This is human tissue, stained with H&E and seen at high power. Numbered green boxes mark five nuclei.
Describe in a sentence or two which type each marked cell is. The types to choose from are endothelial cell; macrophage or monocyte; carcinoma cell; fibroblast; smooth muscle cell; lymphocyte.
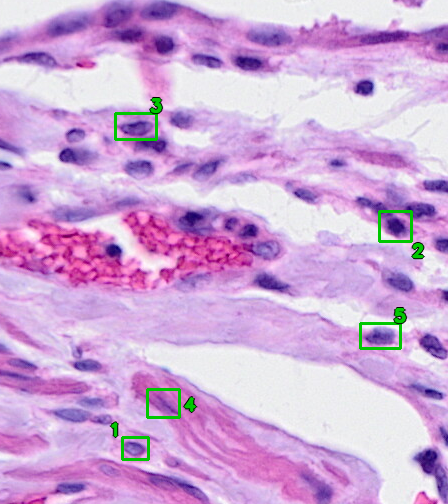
Cell 1 is an endothelial cell. Cell 2 is a lymphocyte. Cells 3 and 5 are macrophages or monocytes. Cell 4 is a smooth muscle cell.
